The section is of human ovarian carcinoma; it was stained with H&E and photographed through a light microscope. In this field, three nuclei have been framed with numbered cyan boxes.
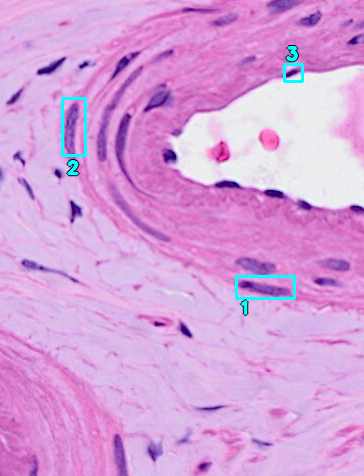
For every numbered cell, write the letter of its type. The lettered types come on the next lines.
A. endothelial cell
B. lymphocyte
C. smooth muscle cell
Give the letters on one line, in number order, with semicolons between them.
C; C; A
